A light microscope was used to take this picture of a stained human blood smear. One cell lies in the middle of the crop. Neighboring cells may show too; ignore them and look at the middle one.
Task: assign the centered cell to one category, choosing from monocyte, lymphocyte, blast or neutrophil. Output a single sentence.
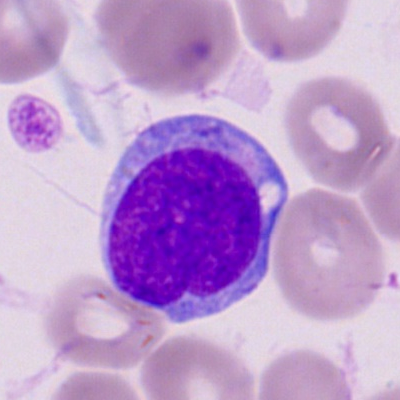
The identification for the central cell is a blast.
